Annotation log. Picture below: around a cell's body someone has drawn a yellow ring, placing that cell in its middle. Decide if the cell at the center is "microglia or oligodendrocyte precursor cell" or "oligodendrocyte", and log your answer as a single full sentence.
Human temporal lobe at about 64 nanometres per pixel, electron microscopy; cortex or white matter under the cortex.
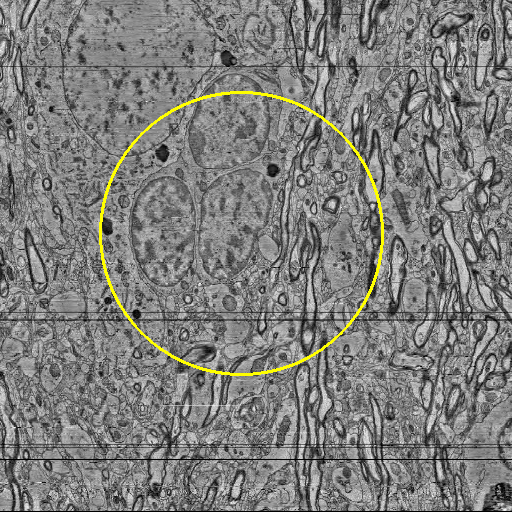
My entry records an oligodendrocyte as the cell sitting at the center of the yellow ring.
